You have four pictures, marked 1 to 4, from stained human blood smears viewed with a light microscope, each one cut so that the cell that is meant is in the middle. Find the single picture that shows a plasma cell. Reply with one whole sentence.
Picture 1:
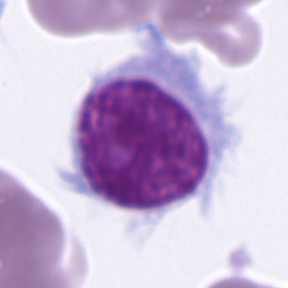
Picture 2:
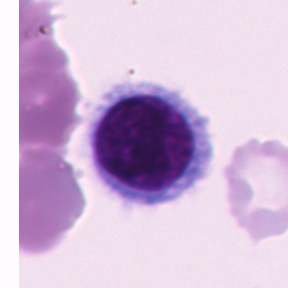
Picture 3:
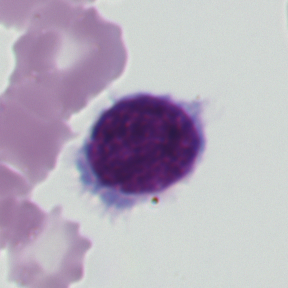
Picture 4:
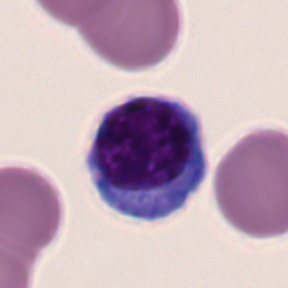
Picture 4 shows the plasma cell.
